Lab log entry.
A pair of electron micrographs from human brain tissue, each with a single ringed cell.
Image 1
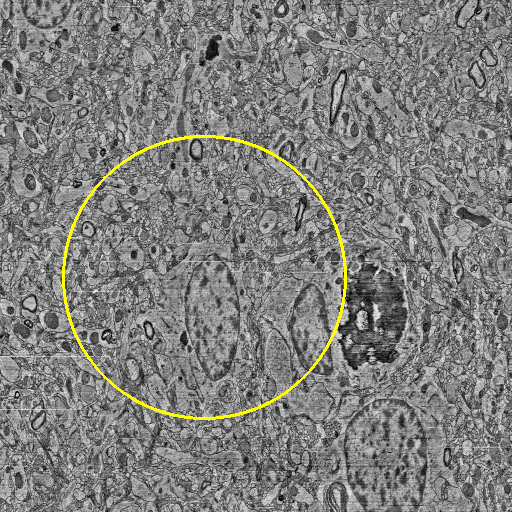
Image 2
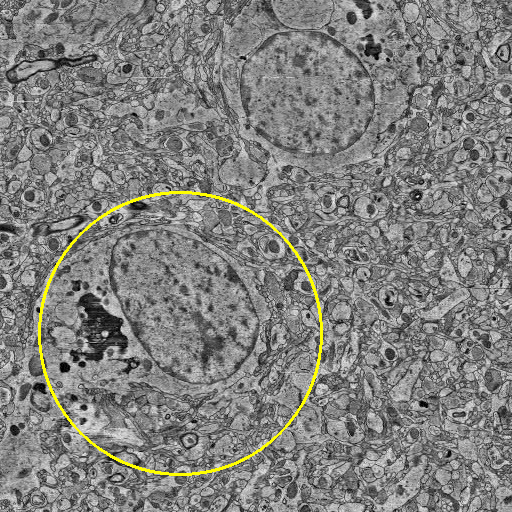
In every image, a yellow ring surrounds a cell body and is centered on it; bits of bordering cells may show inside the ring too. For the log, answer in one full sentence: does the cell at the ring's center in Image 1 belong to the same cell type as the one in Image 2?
Yes, the cells at the ring centers in Image 1 and Image 2 share one type.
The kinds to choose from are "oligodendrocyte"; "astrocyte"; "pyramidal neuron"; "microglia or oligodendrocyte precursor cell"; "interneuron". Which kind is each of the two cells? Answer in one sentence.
The cell in the first picture is an astrocyte, and so is the one in the second.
